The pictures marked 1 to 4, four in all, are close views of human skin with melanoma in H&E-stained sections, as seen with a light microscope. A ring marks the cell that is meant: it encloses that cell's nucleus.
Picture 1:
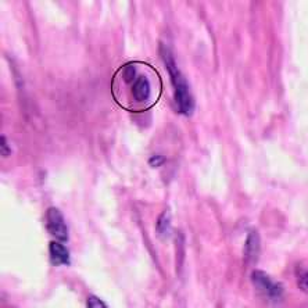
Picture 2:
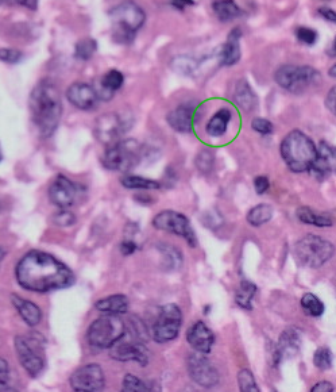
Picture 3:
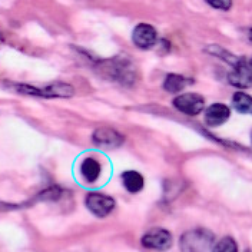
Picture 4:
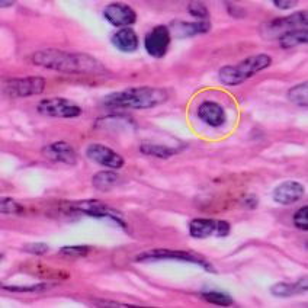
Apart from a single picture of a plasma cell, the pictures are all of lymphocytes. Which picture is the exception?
1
